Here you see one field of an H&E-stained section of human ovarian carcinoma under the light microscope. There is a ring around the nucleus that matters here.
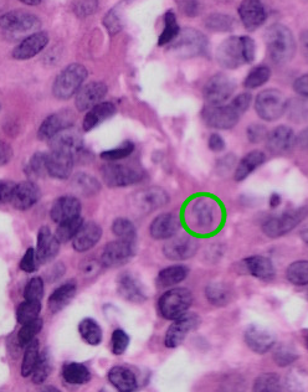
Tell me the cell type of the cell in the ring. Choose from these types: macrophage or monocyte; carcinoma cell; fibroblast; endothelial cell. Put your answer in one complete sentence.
This is an endothelial cell.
